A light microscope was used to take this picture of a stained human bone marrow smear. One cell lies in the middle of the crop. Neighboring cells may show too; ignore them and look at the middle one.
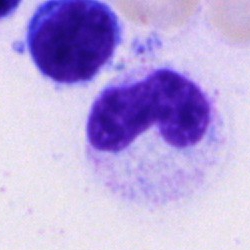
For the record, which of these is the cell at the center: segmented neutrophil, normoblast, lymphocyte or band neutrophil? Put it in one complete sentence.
The cell found in the middle of this crop is a band neutrophil.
